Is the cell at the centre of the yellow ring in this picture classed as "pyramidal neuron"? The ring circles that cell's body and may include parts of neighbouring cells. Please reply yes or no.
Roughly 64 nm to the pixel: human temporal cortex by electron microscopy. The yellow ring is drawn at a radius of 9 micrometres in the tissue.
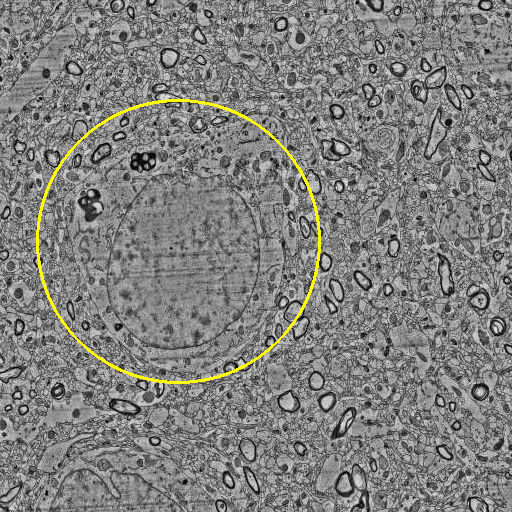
Yes, it is of that kind.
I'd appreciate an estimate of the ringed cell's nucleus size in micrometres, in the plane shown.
In this plane, roughly 12 by 10 micrometres.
